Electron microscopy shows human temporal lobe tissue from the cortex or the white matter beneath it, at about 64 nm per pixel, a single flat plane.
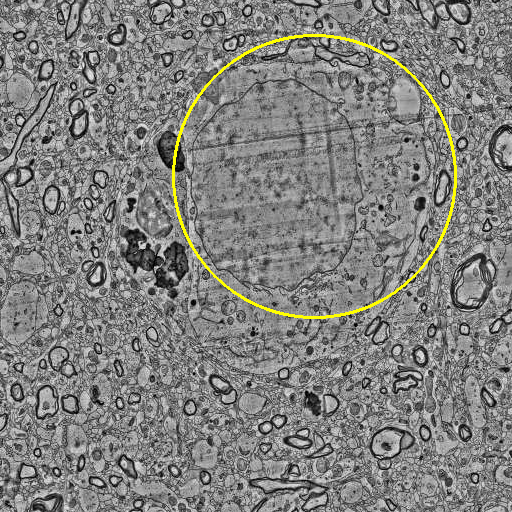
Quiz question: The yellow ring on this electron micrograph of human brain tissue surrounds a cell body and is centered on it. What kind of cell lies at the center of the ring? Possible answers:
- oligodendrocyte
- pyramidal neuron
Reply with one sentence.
The ring's center lies on a pyramidal neuron.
